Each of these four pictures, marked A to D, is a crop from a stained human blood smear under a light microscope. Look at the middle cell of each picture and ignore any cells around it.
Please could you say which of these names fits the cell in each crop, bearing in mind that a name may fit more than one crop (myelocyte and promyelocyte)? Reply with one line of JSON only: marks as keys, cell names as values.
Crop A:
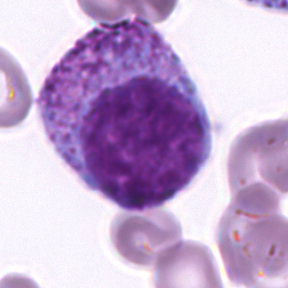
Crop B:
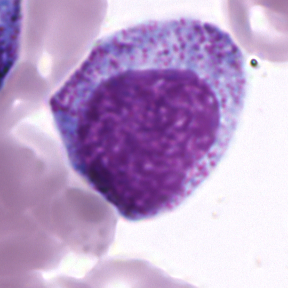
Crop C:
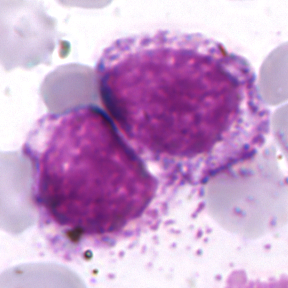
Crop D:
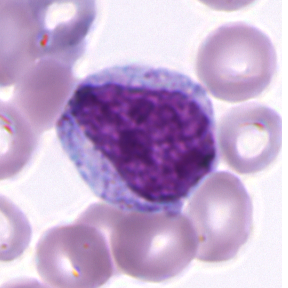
{"A": "promyelocyte", "B": "promyelocyte", "C": "myelocyte", "D": "myelocyte"}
